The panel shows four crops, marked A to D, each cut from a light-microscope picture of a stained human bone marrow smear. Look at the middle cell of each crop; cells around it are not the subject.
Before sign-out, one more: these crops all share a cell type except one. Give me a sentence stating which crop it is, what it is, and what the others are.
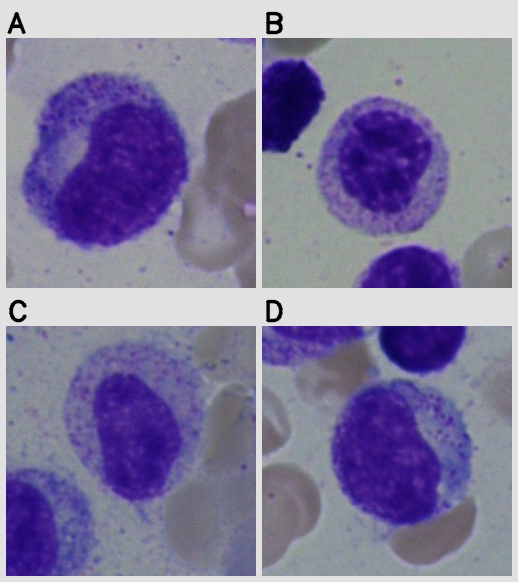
Only crop A differs, being a metamyelocyte, while the others all show myelocytes.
